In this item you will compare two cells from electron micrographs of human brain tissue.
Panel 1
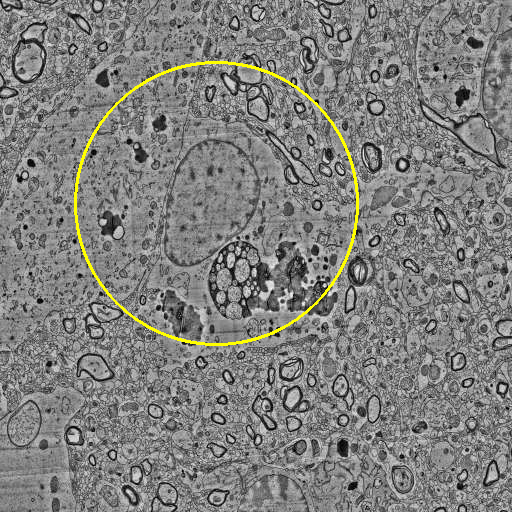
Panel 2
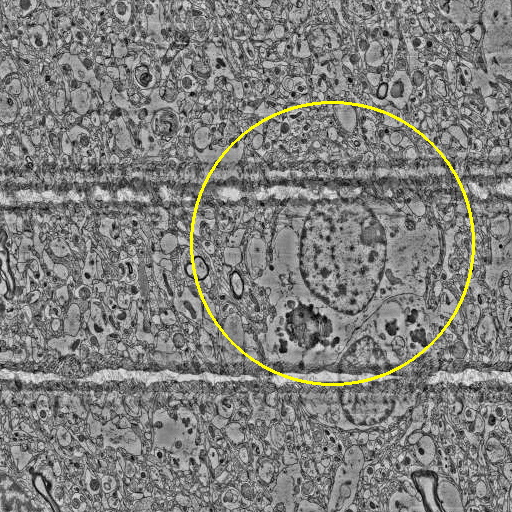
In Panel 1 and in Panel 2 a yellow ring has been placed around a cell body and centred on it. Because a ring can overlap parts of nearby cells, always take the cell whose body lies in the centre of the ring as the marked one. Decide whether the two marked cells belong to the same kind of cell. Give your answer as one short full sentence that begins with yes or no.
Yes, the two marked cells belong to the same kind of cell.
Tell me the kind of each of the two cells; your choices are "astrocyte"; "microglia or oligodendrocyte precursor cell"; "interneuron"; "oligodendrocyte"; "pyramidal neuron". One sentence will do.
Each cell at the centre of a ring is an astrocyte.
